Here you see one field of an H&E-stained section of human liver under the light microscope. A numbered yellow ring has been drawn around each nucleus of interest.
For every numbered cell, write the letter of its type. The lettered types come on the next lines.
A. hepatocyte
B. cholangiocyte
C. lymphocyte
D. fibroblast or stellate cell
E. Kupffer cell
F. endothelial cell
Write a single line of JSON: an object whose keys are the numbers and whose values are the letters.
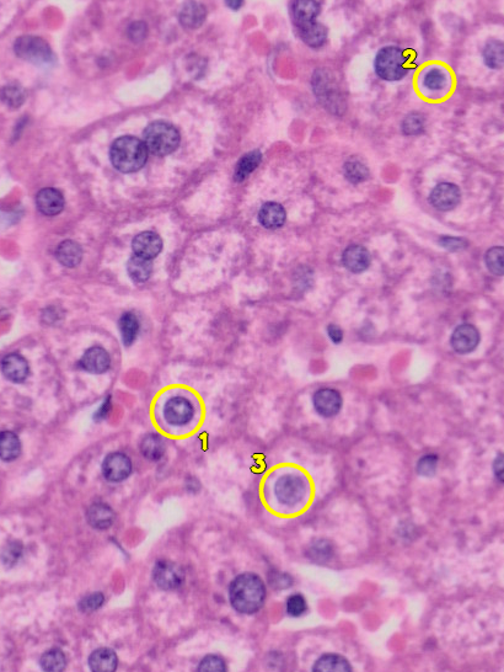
{"1": "A", "2": "C", "3": "A"}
